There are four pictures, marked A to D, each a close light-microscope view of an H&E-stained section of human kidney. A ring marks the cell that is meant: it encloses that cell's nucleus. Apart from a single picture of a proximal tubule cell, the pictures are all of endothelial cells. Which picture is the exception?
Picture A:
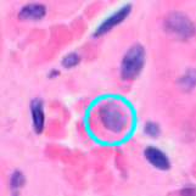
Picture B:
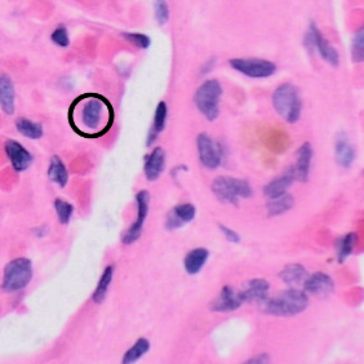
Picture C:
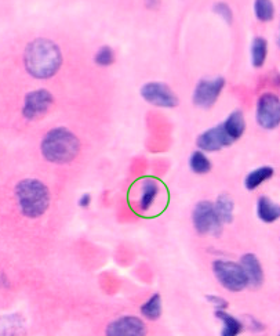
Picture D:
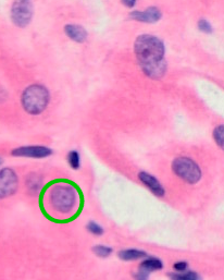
D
